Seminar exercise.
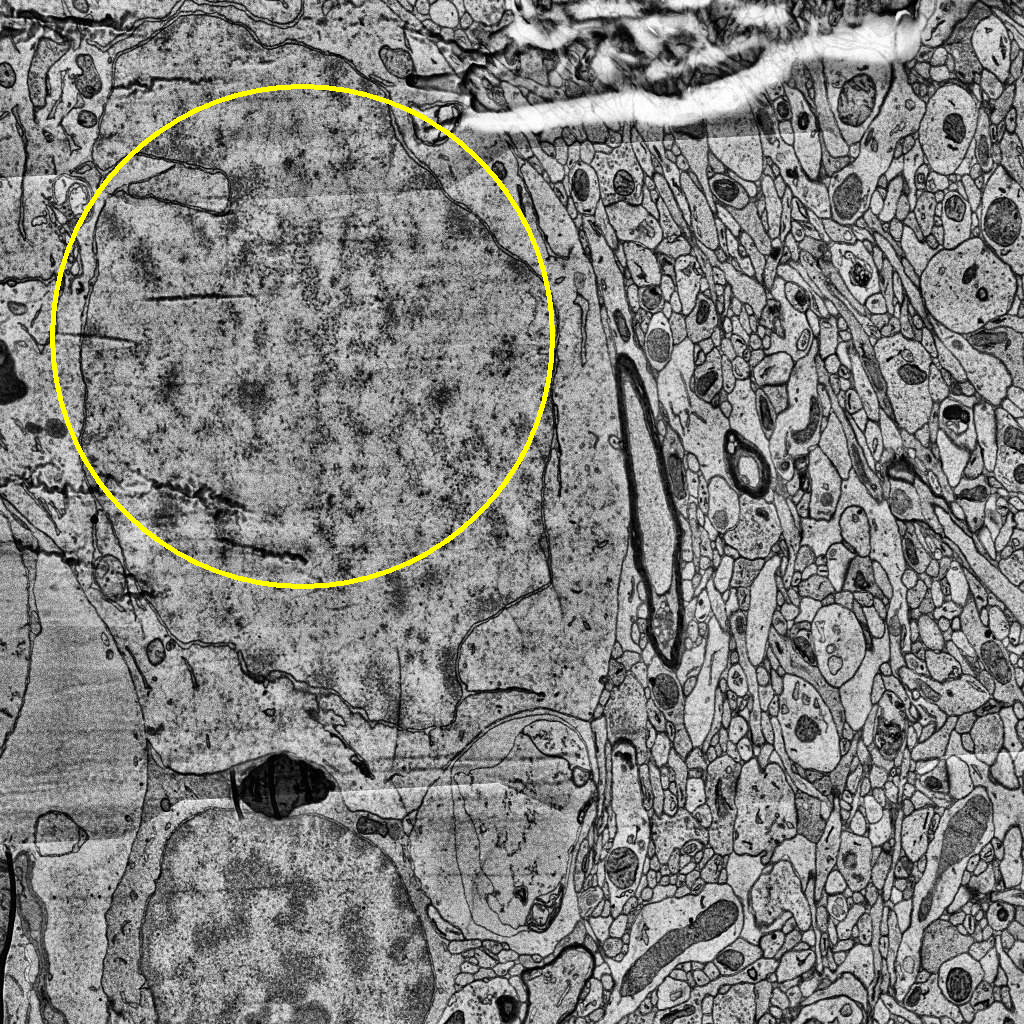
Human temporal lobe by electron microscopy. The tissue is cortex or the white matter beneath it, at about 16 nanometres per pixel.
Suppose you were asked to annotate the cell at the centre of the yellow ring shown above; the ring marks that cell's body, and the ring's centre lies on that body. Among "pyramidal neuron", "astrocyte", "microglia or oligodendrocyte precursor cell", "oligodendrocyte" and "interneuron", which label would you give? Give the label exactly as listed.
interneuron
